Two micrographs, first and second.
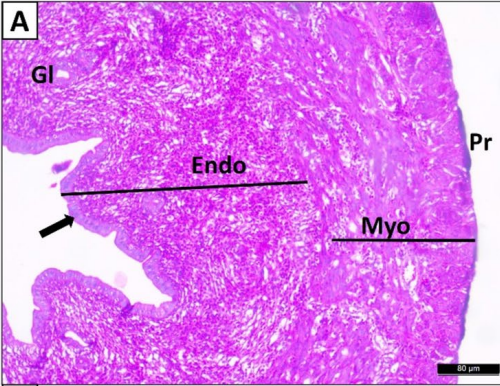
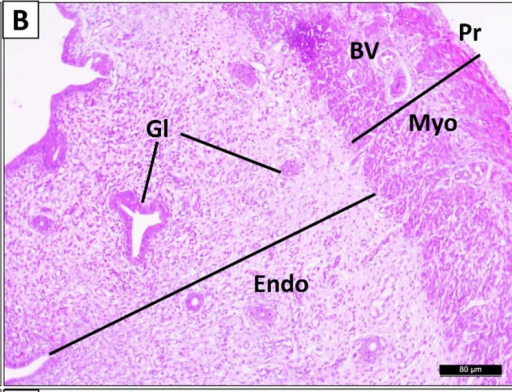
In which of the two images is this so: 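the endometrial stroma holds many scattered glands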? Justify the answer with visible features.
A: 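First image: the dense endometrium shows few distinct gland profiles. Second image: several round and branched gland profiles lie scattered through a wide, pale stroma.
The second image.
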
